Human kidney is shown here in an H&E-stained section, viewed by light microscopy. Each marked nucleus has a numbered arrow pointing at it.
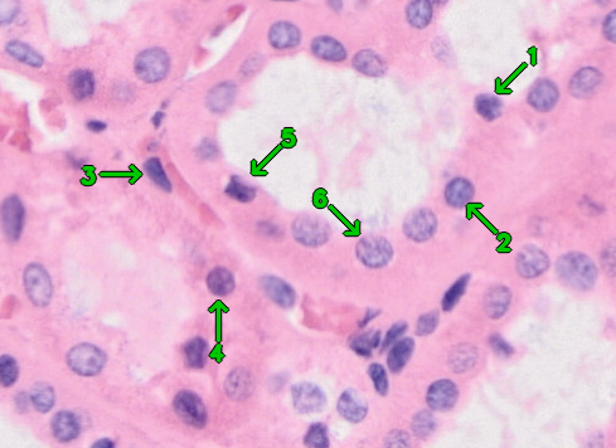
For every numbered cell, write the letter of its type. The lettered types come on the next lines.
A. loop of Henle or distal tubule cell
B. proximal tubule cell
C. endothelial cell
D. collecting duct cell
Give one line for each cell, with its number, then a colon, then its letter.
1: A
2: A
3: C
4: B
5: A
6: A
